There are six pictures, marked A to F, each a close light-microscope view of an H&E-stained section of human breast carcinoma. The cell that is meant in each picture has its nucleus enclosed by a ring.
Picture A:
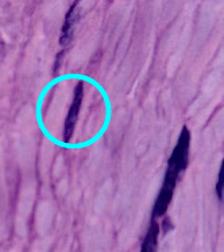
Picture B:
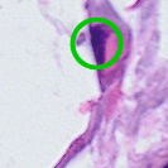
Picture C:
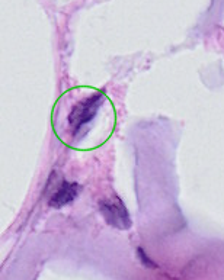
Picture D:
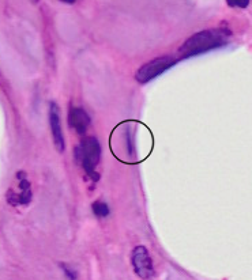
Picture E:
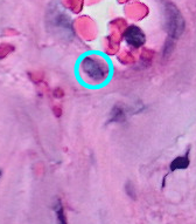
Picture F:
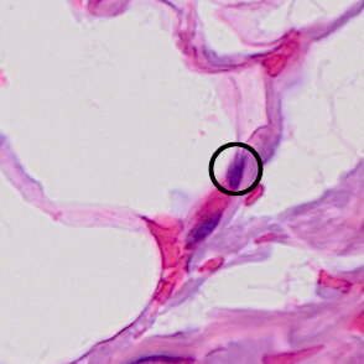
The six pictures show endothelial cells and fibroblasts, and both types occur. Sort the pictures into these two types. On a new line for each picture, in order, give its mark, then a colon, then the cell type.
A: fibroblast
B: endothelial cell
C: fibroblast
D: fibroblast
E: endothelial cell
F: endothelial cell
